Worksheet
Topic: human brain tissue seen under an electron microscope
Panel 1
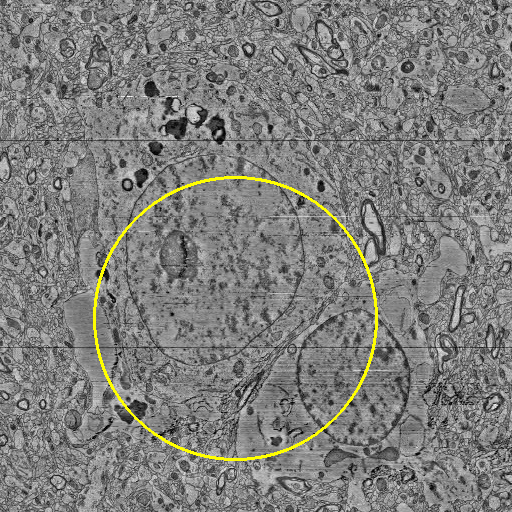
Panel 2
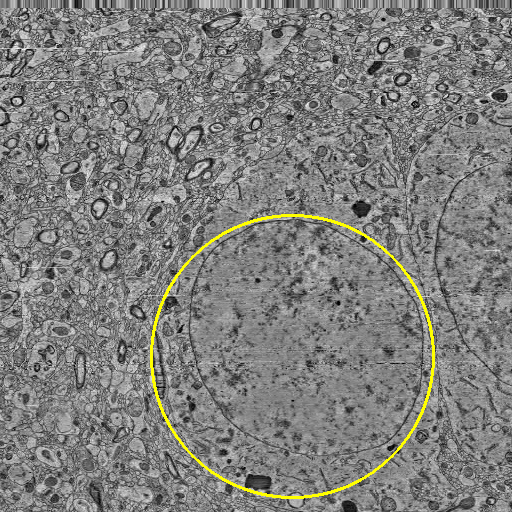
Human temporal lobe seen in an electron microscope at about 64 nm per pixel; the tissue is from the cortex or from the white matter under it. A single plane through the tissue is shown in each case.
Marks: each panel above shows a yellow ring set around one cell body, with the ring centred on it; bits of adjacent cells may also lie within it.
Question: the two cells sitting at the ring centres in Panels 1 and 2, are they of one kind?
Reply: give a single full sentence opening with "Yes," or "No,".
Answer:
Yes, the two ring-centre cells in Panel 1 and Panel 2 are of one kind.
